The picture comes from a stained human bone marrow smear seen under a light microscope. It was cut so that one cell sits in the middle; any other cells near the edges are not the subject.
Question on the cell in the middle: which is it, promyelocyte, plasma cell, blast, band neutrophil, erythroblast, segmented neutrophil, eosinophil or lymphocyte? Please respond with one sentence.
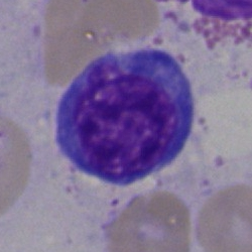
In the central position of this crop, the cell is an erythroblast.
